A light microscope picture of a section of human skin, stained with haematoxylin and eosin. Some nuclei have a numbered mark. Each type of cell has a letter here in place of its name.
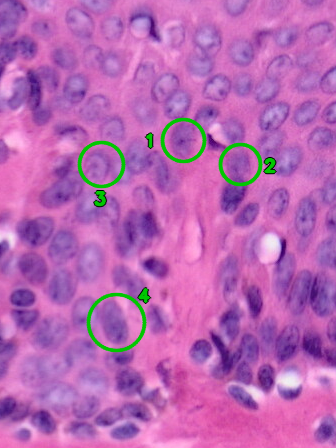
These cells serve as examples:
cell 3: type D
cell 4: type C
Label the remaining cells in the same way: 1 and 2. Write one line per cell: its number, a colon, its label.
1: type C
2: type C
